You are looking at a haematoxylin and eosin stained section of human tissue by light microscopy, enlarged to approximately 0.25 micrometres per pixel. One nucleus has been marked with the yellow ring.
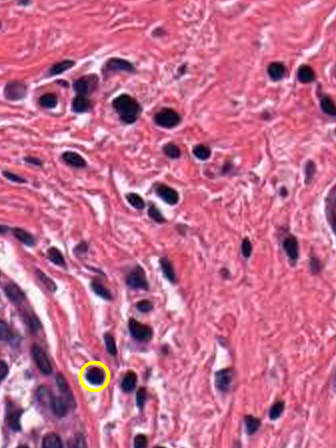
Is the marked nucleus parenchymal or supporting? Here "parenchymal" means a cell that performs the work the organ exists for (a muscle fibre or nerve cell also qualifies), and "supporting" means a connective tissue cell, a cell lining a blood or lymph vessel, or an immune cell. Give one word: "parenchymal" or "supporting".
supporting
